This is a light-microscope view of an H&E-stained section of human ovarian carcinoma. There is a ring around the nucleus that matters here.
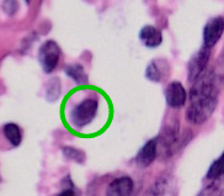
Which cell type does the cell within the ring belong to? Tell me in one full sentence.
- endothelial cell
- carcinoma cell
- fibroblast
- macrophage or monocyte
The correct response here is that the cell within the ring is a carcinoma cell.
